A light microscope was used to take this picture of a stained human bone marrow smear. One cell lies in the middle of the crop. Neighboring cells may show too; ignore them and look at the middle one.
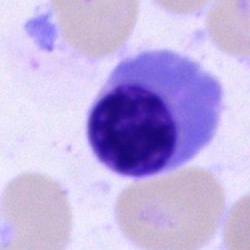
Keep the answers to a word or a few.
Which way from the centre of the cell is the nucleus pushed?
lower left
